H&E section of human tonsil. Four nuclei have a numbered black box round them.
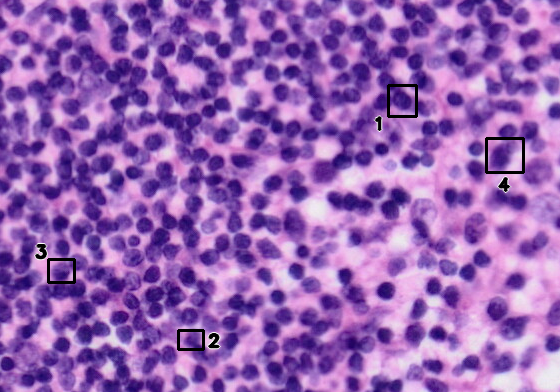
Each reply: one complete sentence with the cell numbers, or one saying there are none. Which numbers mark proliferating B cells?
A single numbered cell, cell 4, is a proliferating B cell.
